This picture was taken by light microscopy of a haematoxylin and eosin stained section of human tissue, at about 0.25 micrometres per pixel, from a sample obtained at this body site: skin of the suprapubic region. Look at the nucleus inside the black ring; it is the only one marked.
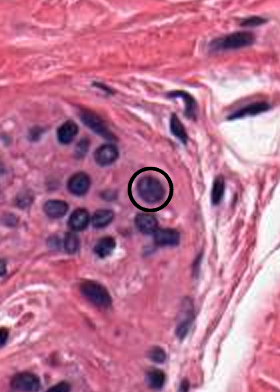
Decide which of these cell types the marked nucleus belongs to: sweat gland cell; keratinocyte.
sweat gland cell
